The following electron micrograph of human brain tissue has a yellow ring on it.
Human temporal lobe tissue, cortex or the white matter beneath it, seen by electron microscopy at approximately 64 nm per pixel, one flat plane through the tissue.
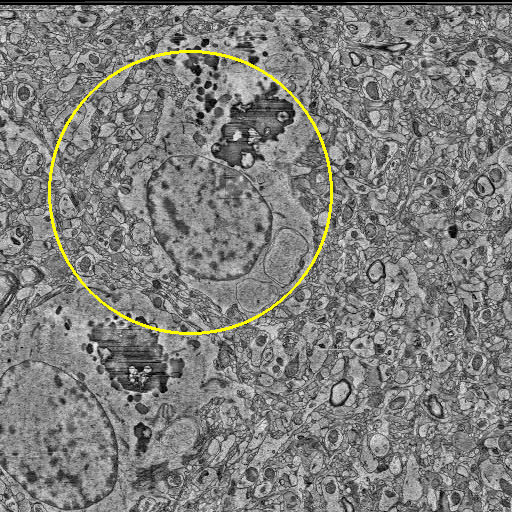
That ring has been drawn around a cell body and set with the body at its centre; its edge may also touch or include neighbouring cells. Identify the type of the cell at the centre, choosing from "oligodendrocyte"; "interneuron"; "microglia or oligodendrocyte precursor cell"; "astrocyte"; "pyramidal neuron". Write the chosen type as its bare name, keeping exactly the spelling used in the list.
astrocyte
